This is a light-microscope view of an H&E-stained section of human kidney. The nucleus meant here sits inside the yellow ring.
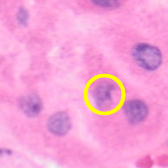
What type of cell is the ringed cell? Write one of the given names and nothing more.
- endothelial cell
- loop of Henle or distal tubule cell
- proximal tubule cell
proximal tubule cell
